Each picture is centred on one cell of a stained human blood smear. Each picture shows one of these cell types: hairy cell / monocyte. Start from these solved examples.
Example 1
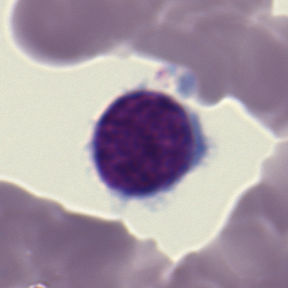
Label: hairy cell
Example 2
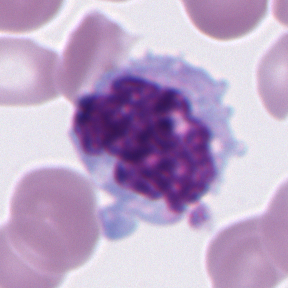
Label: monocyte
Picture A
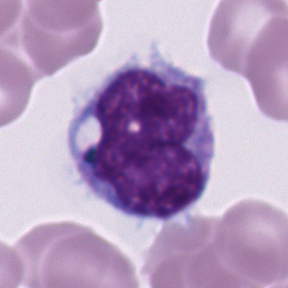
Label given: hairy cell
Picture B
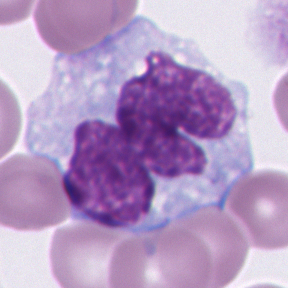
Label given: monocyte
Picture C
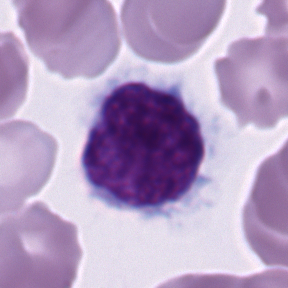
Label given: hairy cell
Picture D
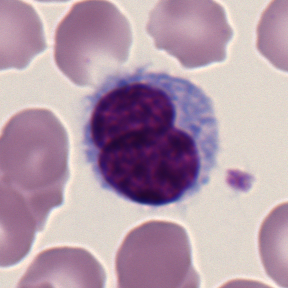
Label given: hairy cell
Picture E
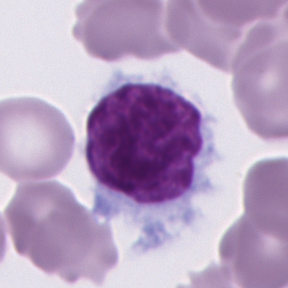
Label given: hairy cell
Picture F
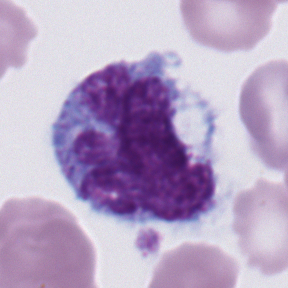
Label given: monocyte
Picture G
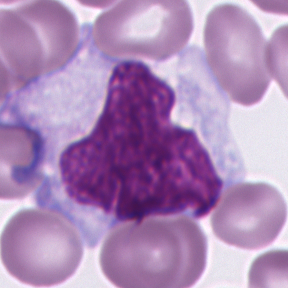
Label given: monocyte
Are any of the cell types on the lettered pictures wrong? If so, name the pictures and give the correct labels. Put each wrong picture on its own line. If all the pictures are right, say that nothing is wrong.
Wrong: A (hairy cell); correct: monocyte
